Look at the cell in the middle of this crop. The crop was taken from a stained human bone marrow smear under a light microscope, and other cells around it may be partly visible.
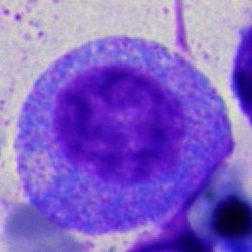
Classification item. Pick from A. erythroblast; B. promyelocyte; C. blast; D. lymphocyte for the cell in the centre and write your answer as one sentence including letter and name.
Option B is correct in that the central cell is a promyelocyte.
